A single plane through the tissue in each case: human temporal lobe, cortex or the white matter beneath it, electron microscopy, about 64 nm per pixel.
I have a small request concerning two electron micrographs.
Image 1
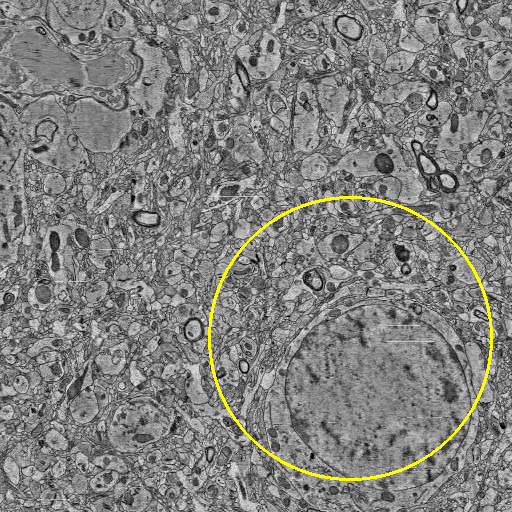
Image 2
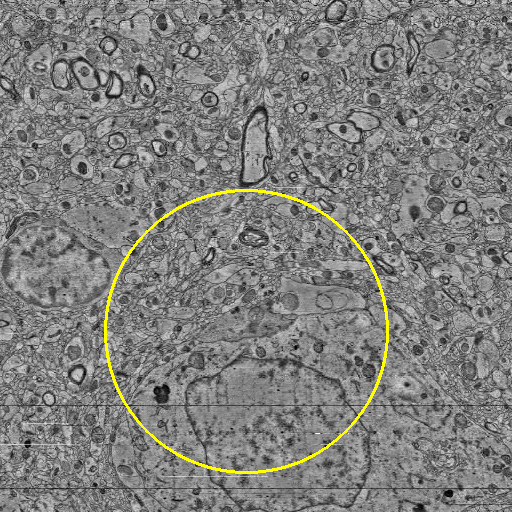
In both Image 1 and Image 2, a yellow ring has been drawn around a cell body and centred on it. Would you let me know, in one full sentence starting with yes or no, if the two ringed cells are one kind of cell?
No, the cells ringed in Image 1 and Image 2 are two kinds of cell.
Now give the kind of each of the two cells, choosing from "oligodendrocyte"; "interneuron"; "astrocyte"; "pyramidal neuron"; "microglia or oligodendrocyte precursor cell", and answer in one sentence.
The cell in the first picture is a pyramidal neuron, and the cell in the second is an oligodendrocyte.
